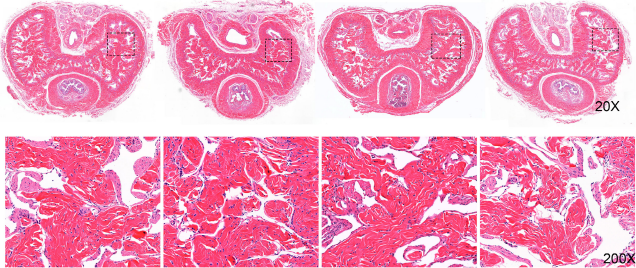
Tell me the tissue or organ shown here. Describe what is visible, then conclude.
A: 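Enlarged fields show irregular open spaces separated by pink trabeculae.
Corpus cavernosum.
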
